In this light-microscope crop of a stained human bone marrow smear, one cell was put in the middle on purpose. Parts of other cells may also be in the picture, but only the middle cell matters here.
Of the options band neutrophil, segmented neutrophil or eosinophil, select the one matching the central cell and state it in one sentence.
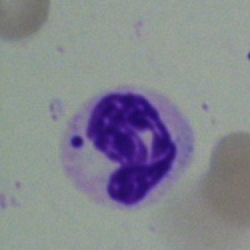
This particular crop is centered on a segmented neutrophil.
